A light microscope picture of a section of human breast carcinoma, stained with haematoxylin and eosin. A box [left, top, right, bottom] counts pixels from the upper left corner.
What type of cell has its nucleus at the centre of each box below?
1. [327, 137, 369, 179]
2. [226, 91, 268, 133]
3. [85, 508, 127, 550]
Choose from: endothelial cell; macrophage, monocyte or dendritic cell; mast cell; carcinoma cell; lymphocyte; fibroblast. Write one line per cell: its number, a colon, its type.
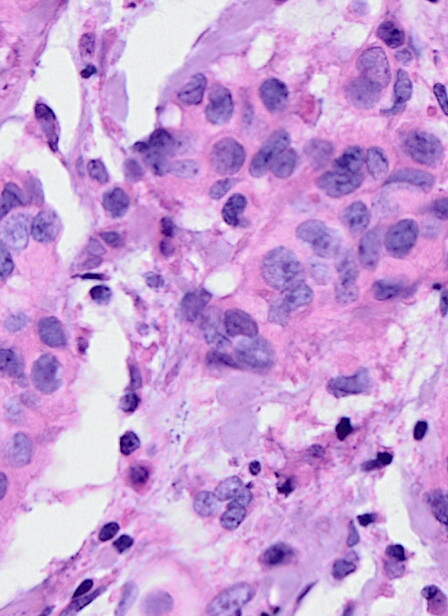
1: carcinoma cell
2: carcinoma cell
3: lymphocyte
